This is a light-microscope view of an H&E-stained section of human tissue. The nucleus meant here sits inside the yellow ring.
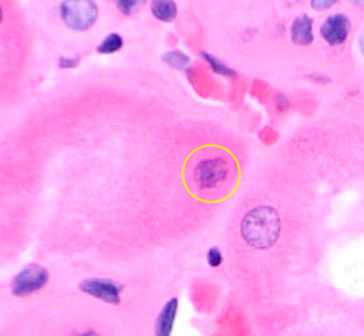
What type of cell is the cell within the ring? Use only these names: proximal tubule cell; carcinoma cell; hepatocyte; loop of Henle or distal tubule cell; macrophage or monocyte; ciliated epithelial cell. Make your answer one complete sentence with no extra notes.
Within this tissue, the cell within the ring is a proximal tubule cell.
